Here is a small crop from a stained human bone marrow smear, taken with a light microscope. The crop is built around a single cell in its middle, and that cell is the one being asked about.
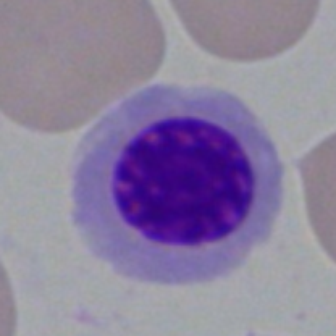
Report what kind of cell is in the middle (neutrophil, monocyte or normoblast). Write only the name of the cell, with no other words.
normoblast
